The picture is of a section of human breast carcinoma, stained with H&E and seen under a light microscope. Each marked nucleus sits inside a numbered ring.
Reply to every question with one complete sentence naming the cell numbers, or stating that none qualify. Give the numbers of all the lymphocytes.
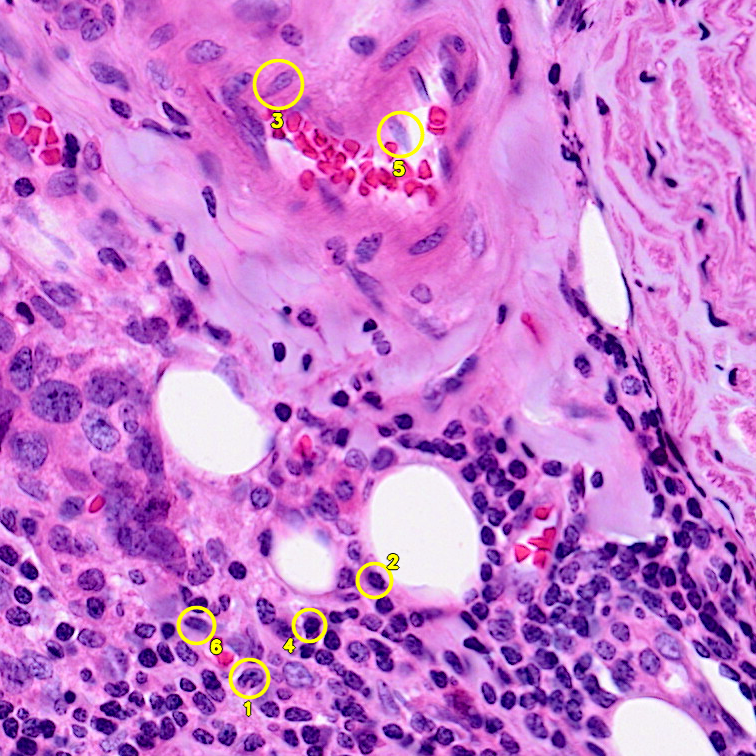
The cells that have numbers 1, 2, 4 and 6 are lymphocytes.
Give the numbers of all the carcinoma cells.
Across all the numbered cells, carcinoma cells are absent.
